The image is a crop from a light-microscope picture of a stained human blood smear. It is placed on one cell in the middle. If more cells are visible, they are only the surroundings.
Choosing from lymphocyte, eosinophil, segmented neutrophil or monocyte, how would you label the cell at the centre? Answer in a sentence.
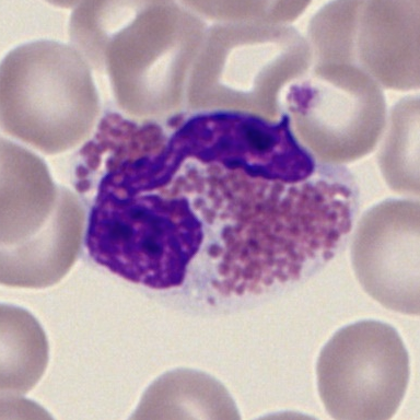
The cell at the heart of this crop is an eosinophil.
